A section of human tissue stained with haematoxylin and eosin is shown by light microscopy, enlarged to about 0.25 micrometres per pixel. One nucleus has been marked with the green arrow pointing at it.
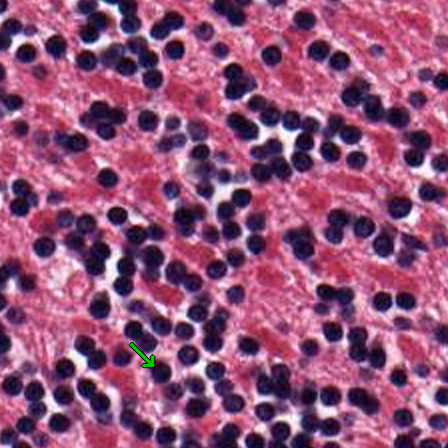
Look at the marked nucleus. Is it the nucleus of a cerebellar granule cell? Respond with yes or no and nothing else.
yes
